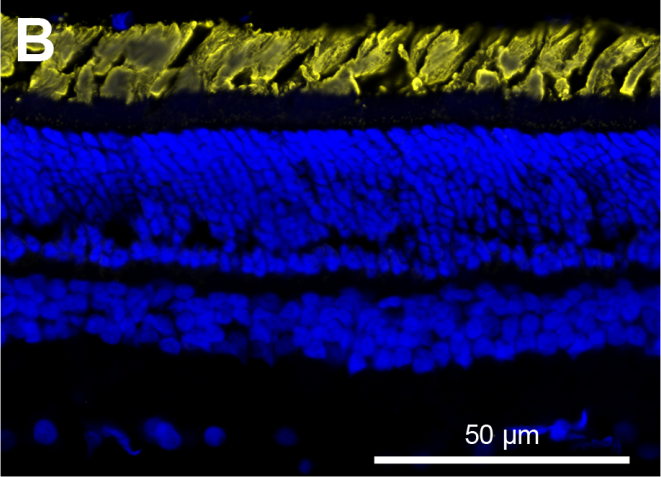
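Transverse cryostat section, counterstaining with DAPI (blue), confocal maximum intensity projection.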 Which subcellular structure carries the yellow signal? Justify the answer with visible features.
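Rod outer segments. The yellow signal forms a continuous band at the top, outside all nuclear layers. The yellow band is made of densely packed, elongated, obliquely oriented profiles. A thick layer of many packed nuclei lies just beneath the yellow band.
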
